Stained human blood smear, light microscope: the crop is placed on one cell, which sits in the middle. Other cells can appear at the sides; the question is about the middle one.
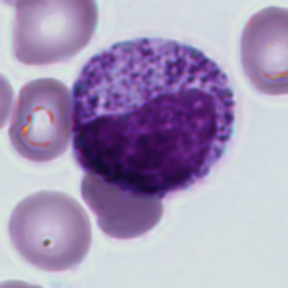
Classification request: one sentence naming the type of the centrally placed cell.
This crop has a metamyelocyte at its centre.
